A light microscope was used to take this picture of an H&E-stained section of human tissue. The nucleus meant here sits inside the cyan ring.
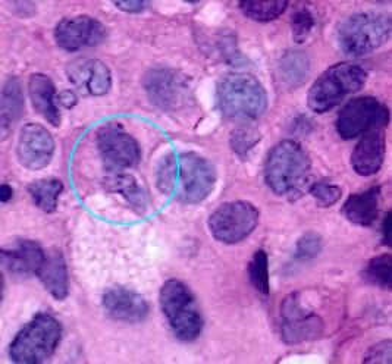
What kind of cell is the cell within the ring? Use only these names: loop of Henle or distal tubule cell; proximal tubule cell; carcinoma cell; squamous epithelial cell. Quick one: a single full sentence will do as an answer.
Placed in its cell category, the cell within the ring is a carcinoma cell.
